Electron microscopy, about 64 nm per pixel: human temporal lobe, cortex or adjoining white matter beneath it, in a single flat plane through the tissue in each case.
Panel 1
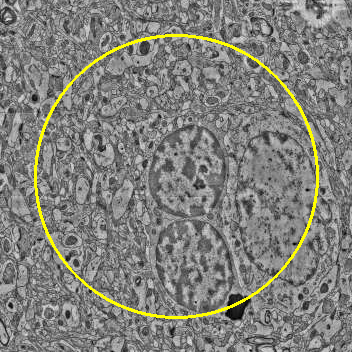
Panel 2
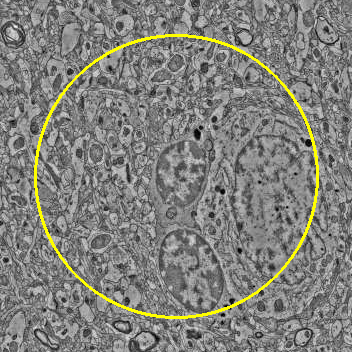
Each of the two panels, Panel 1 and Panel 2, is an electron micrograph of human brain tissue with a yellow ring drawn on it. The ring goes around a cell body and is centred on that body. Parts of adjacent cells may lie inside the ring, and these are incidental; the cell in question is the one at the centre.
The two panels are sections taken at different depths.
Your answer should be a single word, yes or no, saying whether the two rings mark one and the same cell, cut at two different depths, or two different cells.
yes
